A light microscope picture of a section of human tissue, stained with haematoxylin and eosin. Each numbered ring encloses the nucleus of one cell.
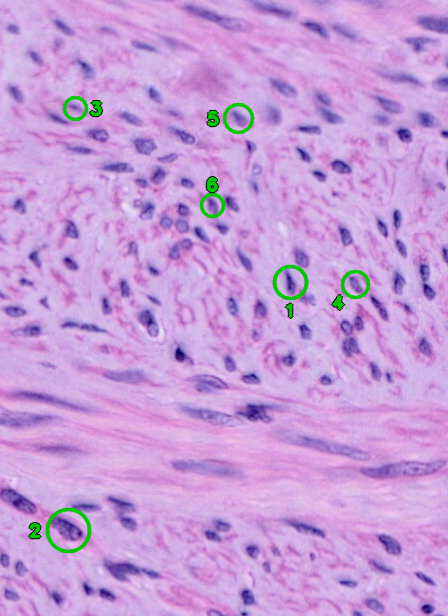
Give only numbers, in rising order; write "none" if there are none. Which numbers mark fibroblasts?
1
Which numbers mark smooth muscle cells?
3, 4, 5, 6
